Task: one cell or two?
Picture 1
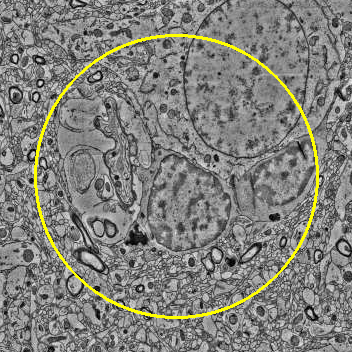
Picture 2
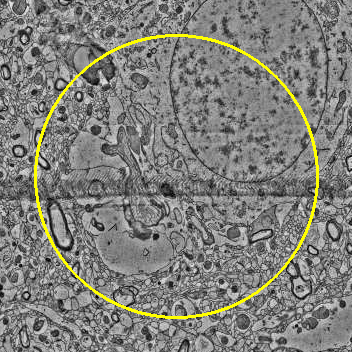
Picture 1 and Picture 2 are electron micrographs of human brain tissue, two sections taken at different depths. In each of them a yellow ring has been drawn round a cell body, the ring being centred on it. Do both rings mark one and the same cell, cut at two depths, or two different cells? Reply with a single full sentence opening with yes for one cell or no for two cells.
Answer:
Yes, both yellow rings mark one and the same cell.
